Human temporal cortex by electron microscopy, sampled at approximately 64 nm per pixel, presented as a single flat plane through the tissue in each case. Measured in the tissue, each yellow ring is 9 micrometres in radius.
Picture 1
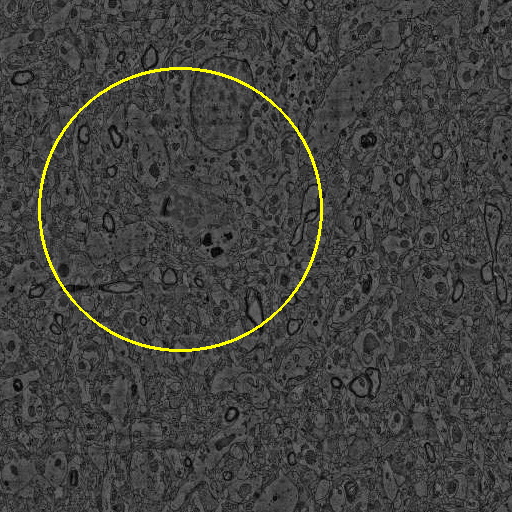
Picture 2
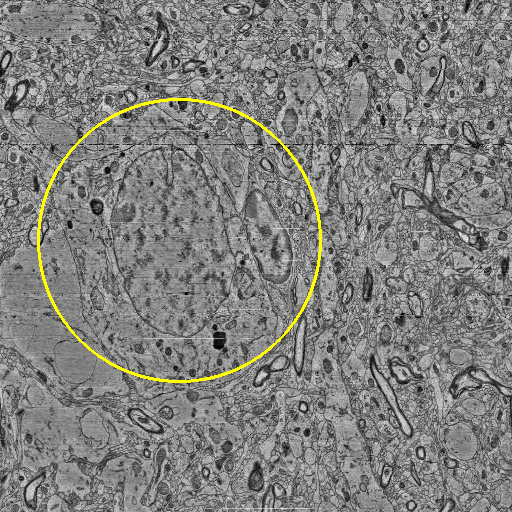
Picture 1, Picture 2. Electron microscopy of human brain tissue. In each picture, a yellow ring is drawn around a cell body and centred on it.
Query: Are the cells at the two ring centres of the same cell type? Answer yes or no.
no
